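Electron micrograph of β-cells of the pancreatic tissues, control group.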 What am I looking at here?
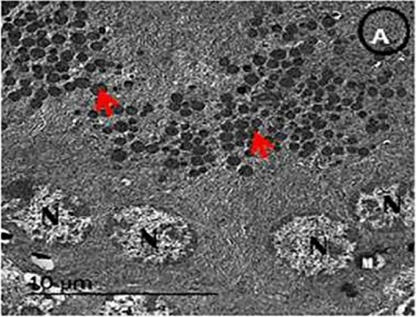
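Above the nuclei, clusters of small round electron-dense granules fill large areas of the cytoplasm, giving a dotted appearance. A mitochondrion is visible near the lower right margin. The cytoplasm between the granule clusters is finely textured and grey.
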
